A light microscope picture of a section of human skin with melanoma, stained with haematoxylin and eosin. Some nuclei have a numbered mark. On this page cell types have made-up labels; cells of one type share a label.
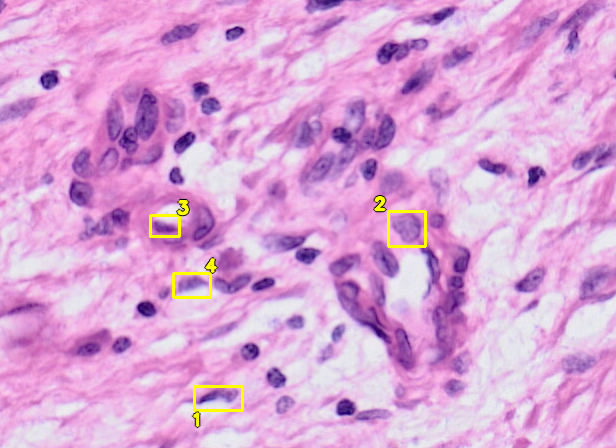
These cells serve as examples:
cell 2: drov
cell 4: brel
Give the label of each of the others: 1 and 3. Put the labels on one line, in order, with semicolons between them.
brel; drov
